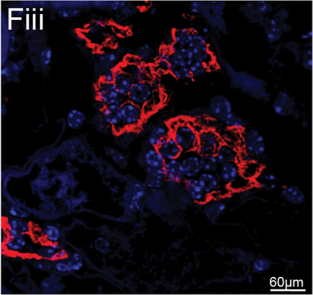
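Within each cluster the round blue nuclei are closely packed, and red lines run between the individual cells. A smaller red-bordered group lies at the lower left edge. Between the clusters the matrix is dark with only scattered nuclei.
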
